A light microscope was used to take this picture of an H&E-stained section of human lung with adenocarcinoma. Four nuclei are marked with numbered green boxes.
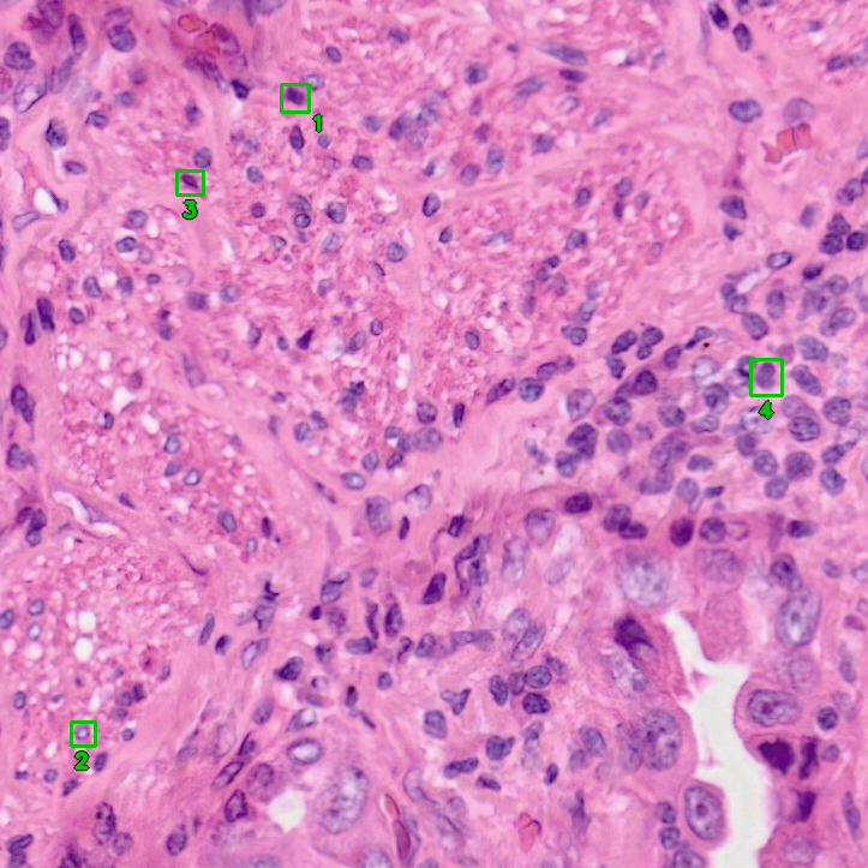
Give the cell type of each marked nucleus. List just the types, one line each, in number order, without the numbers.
smooth muscle cell or pericyte
smooth muscle cell or pericyte
smooth muscle cell or pericyte
lymphocyte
